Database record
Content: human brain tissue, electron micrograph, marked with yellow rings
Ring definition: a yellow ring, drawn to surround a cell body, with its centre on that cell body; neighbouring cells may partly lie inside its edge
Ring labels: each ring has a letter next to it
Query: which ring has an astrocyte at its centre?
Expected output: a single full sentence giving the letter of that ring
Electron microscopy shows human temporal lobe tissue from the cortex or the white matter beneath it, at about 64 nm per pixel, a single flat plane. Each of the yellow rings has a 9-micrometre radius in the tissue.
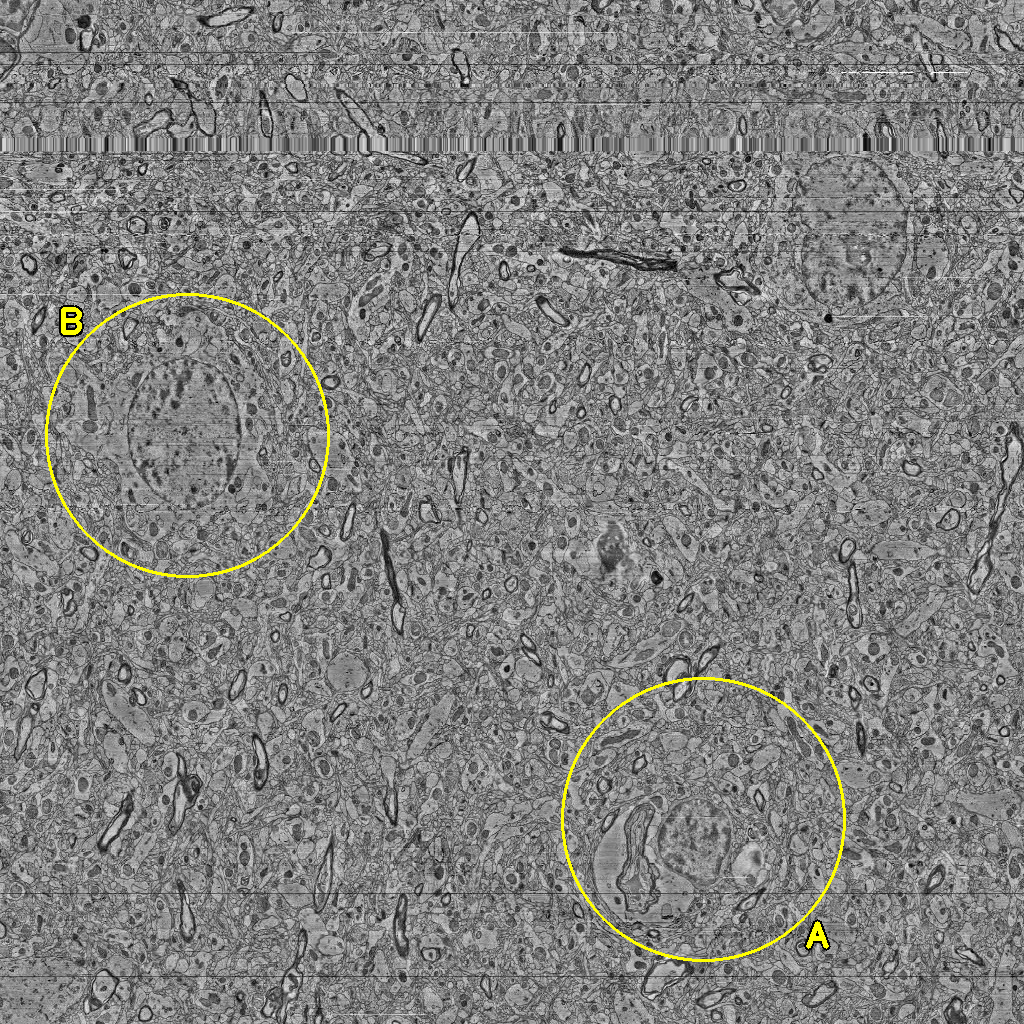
In the picture, the cell being queried lies at the centre of ring B.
